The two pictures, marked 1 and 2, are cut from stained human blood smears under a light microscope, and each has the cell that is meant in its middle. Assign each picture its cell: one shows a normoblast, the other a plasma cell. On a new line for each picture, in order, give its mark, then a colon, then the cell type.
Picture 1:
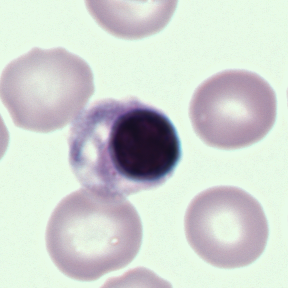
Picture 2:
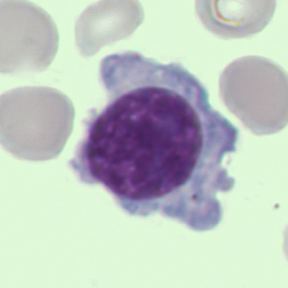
1: normoblast
2: plasma cell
